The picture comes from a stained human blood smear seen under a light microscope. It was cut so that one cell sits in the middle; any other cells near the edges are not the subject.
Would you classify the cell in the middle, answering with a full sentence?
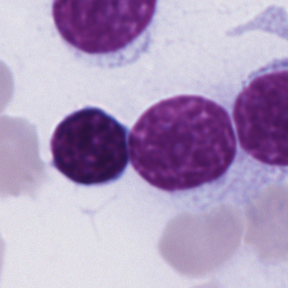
Framed in the middle of the crop is a myeloblast.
